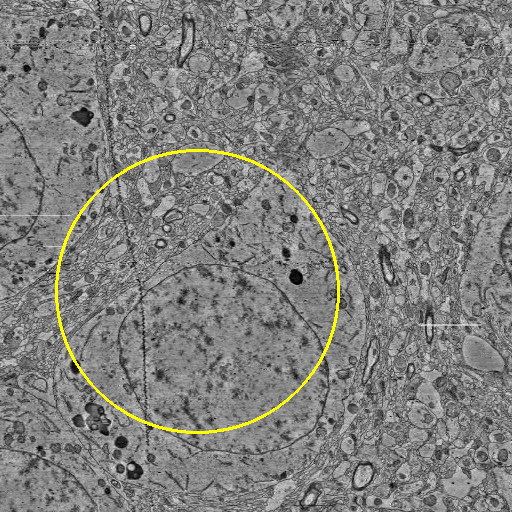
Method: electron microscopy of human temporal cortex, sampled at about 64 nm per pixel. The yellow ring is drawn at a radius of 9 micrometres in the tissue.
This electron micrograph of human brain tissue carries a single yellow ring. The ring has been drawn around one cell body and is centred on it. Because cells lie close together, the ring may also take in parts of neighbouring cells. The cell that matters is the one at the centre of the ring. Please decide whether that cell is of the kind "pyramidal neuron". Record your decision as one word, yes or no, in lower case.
yes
